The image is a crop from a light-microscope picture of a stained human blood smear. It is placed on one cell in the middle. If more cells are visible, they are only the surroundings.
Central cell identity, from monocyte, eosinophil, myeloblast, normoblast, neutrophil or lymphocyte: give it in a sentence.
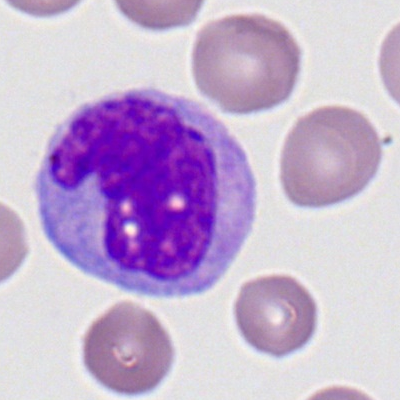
The cell at the middle of the frame should be recorded as a monocyte.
